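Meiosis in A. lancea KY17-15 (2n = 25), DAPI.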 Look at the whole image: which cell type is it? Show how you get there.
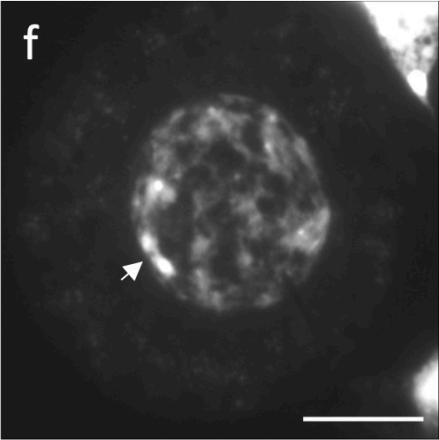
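A single round nucleus with diffuse, reticulate chromatin. A small bright chromatin spot lies at the nuclear edge. That points to this answer: microspore.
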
